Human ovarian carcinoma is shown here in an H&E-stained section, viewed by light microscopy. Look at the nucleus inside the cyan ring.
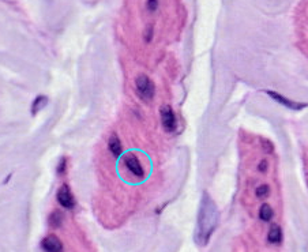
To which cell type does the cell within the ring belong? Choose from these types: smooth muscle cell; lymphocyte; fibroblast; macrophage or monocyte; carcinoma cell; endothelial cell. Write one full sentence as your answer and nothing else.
In cellular terms, the cell within the ring is a smooth muscle cell.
